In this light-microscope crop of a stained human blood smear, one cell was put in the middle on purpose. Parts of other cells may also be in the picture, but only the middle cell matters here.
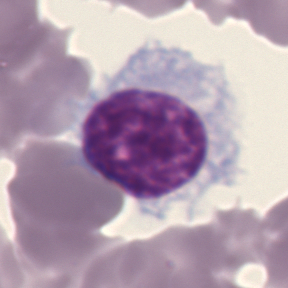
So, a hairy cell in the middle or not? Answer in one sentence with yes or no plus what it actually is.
Yes, the cell that is in the middle is a hairy cell.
